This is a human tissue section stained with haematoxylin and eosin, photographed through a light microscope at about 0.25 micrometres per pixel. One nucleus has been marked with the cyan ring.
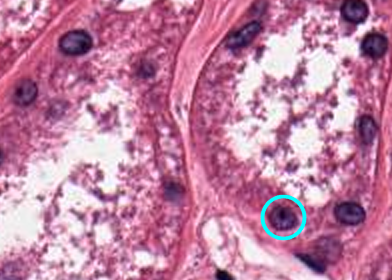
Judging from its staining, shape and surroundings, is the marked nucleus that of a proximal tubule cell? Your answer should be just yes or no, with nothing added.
yes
